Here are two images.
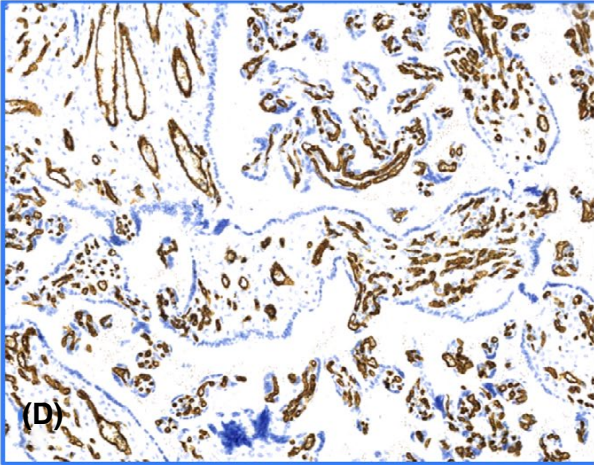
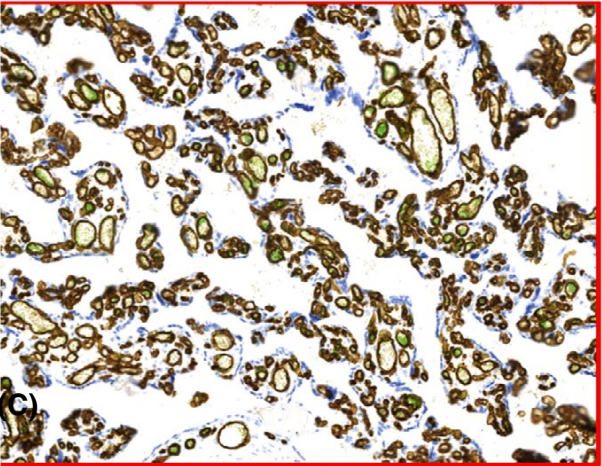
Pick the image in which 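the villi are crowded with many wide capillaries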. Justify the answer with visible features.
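The second image. Second image: small villi are packed with numerous brown-outlined, often dilated capillary lumens.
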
